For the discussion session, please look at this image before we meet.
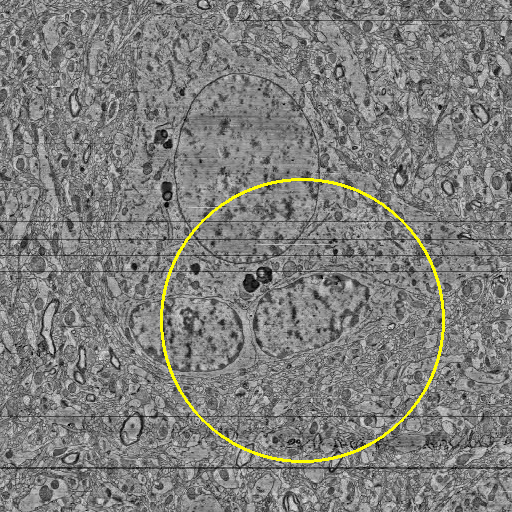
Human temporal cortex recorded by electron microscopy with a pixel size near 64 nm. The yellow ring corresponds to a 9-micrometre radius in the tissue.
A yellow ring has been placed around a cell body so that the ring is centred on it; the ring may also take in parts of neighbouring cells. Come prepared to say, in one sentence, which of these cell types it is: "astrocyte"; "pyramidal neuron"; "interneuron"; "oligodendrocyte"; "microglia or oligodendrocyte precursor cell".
The cell centred in the ring is a microglial cell or oligodendrocyte precursor cell.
